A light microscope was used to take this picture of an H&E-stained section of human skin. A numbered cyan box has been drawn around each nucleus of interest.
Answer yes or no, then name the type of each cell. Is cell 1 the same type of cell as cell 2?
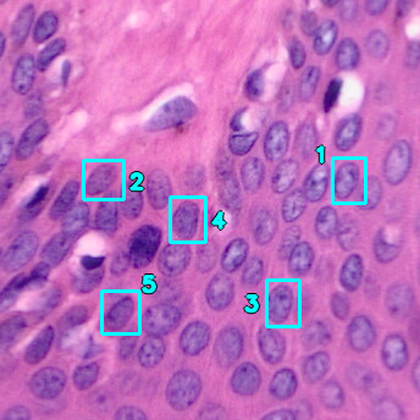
No, cell 1 is classed as a suprabasal keratinocyte and cell 2 as a basal keratinocyte.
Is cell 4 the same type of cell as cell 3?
No, cell 4 is a basal keratinocyte, and cell 3, for its part, is a suprabasal keratinocyte.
